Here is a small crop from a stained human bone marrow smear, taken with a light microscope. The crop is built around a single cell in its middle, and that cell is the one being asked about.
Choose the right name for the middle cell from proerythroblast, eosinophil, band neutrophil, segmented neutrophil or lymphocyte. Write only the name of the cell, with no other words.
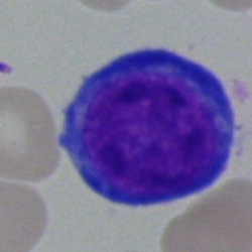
proerythroblast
